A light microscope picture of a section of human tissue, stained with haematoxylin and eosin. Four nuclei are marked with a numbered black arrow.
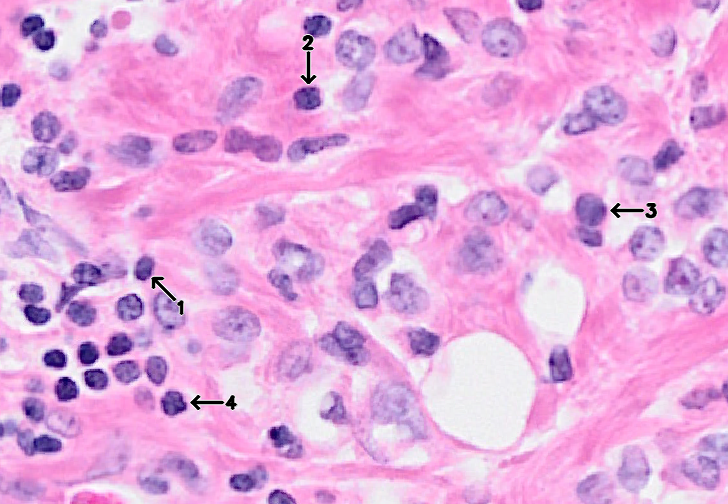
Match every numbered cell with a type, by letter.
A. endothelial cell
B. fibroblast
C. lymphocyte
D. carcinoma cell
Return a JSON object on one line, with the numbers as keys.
{"1": "C", "2": "C", "3": "D", "4": "C"}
